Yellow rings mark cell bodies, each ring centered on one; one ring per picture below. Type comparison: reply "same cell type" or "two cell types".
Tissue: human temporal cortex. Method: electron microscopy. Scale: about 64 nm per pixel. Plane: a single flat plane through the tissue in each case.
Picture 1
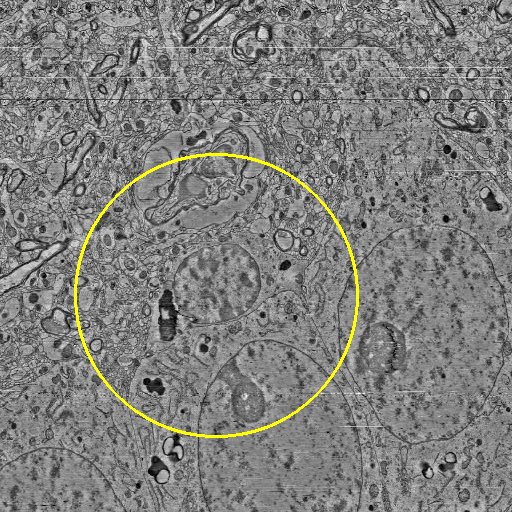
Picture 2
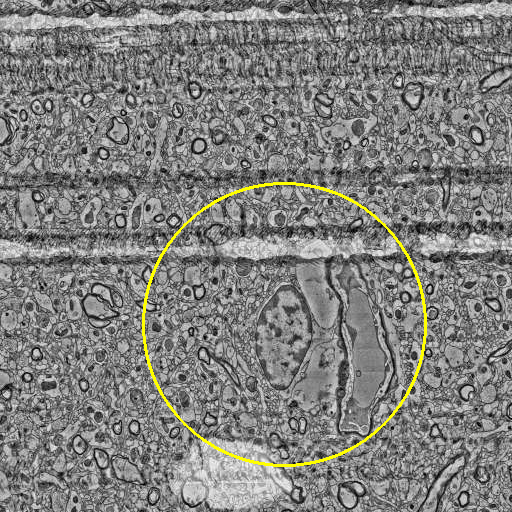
two cell types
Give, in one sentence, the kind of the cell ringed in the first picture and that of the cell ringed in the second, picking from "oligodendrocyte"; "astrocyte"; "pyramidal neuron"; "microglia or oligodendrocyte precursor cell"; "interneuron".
For the first picture it is an oligodendrocyte; for the second, a microglial cell or oligodendrocyte precursor cell.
